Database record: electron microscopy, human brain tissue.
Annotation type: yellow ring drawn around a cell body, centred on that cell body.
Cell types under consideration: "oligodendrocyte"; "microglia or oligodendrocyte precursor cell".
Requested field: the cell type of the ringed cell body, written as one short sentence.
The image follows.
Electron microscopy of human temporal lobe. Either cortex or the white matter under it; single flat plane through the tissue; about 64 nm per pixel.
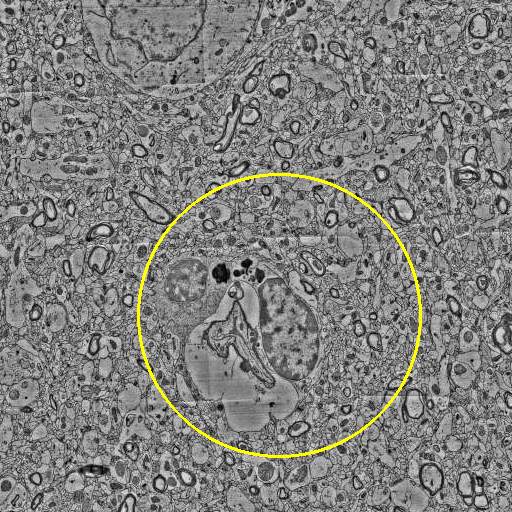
The ringed cell body represents a microglial cell or oligodendrocyte precursor cell.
